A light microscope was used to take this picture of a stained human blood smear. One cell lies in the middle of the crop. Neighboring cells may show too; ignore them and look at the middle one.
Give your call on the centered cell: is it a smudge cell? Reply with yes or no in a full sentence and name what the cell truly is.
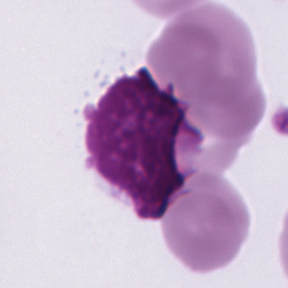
Yes, it is a smudge cell that lies in the middle.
